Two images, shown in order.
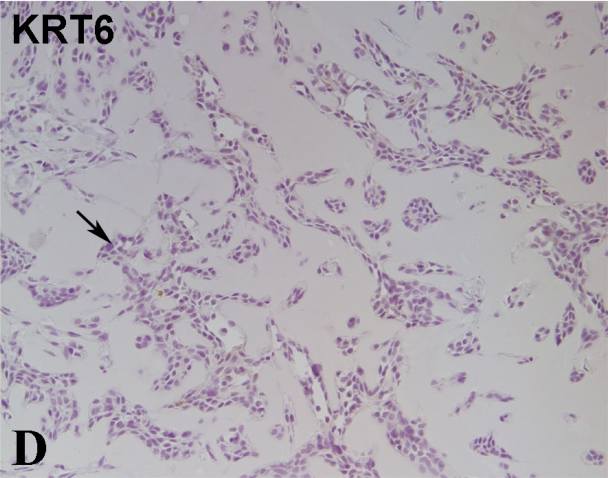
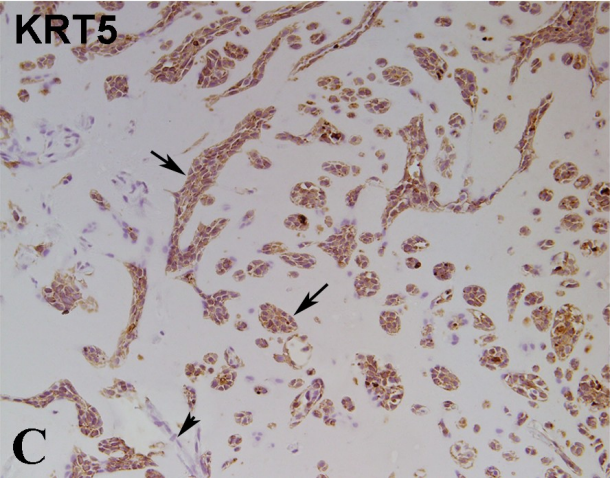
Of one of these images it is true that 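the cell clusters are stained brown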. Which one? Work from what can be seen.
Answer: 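Second image: the cell clusters are filled with brown stain. So: the second image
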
